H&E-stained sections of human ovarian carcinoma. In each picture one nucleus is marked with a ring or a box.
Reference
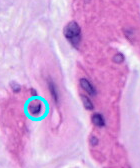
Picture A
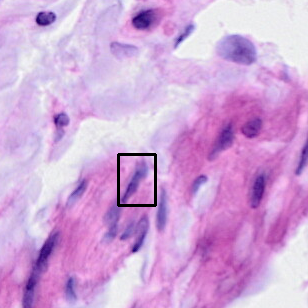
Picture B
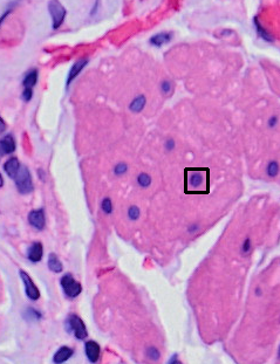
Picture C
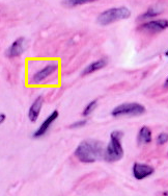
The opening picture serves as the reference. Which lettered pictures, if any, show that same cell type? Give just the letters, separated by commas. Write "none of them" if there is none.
A, B, C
